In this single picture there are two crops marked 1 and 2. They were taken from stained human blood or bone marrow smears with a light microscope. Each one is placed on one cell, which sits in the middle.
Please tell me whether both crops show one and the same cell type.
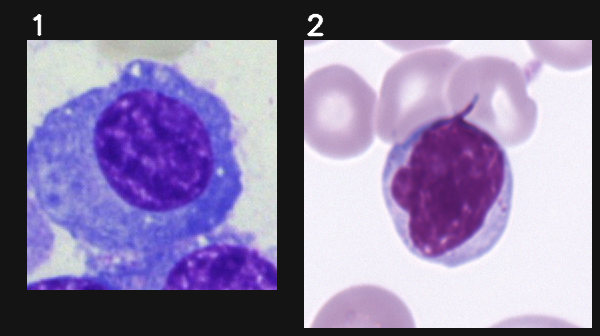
no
